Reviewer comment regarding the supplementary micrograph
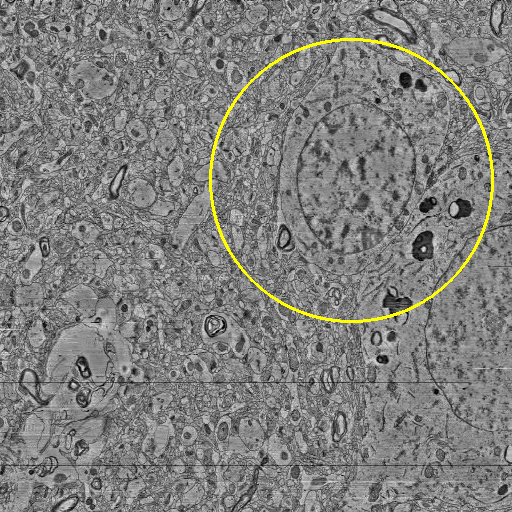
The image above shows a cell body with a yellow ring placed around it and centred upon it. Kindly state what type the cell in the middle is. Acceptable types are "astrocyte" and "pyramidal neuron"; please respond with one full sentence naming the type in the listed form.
In the image above, the cell on which the yellow ring is centred is a pyramidal neuron.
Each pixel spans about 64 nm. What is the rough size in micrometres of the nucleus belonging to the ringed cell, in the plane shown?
Approximately 10 by 8 micrometers in this plane.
